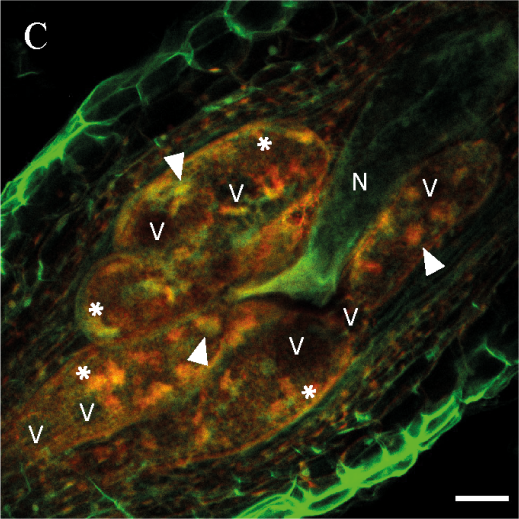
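Several large, lobed giant cells lie side by side within the root, grouped around the greenish head of a nematode. Their cytoplasm is orange-red and contains numerous bright orange spots and many vacuoles. The giant cells are surrounded by smaller cells, and at the edges of the root lie elongated cells with bright green walls.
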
